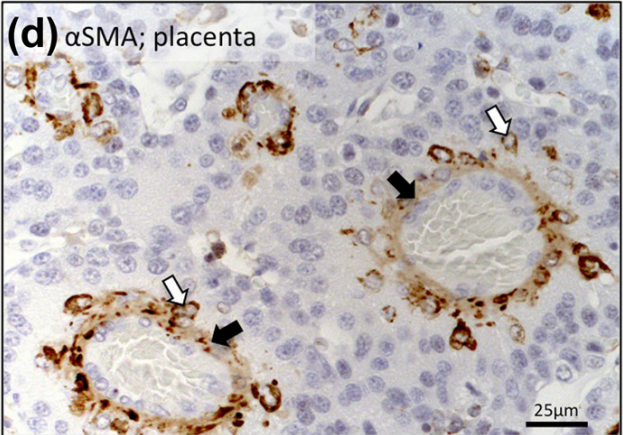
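A ring of brown-stained cells encircles each lumen, and rounded brown-stained cells with round nuclei cluster just outside this ring and are scattered elsewhere, some around smaller vessel profiles at the upper left. The remaining tissue is made of densely packed cells with round to oval blue nuclei and pale, unstained cytoplasm, without brown stain. Cell borders in this unstained tissue are indistinct.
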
